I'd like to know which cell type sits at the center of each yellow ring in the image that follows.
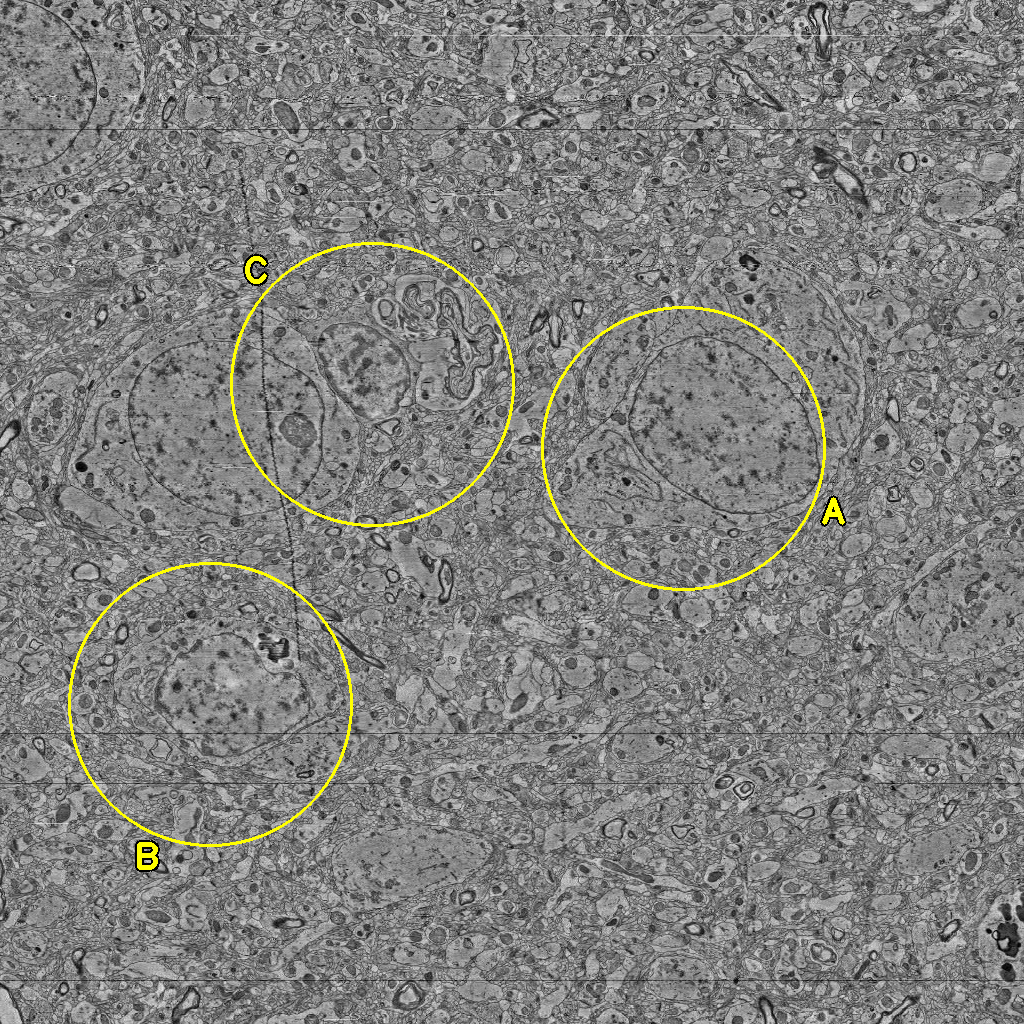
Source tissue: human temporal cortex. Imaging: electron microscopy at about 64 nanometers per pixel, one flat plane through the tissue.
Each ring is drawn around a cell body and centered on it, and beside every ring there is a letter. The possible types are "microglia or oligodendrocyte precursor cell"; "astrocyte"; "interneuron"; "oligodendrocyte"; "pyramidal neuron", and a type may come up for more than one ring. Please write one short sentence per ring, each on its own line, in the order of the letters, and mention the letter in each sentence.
The cell at the center of ring A is a pyramidal neuron.
The cell at the center of ring B is an interneuron.
The cell at the center of ring C is an oligodendrocyte.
